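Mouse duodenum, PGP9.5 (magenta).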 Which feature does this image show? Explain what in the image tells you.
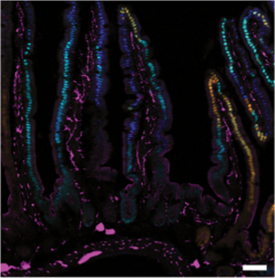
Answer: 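Tall, narrow finger-like projections rise from a common base. Each projection is covered by a single row of epithelial cells with aligned nuclei. That points to this answer: villi.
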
